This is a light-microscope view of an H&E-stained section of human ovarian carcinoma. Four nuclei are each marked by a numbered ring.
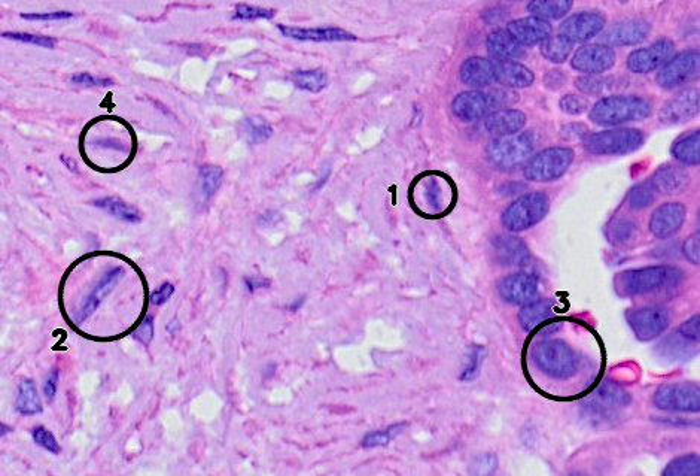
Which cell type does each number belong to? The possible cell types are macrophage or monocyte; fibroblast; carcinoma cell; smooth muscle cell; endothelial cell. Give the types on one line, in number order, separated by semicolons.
fibroblast; fibroblast; carcinoma cell; fibroblast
